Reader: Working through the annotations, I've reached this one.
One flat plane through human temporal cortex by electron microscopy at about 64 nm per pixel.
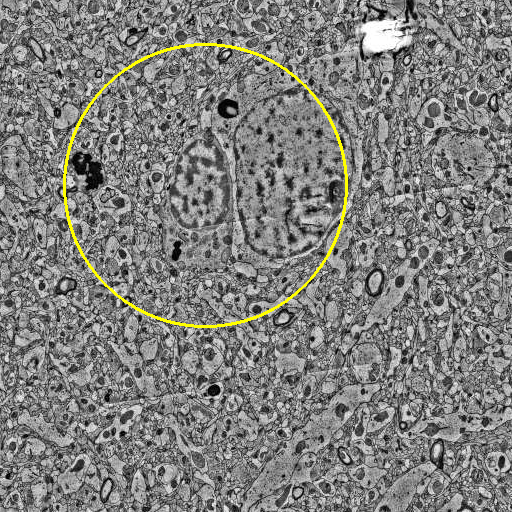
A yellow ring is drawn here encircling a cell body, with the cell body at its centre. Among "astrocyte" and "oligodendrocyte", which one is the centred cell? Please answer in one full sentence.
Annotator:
The cell body at the centre of the yellow ring in this image belongs to an oligodendrocyte.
